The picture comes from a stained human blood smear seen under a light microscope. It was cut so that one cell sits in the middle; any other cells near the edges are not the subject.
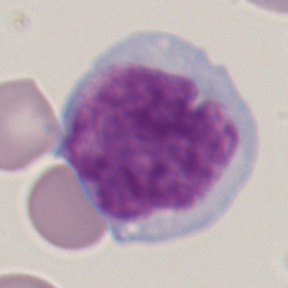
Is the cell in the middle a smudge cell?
no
